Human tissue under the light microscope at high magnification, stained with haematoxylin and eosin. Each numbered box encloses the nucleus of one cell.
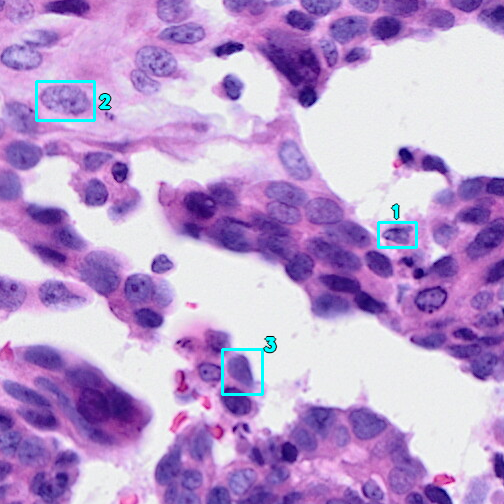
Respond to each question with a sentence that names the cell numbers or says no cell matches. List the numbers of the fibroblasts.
Cell 2 is a fibroblast, and this holds for no other numbered cell.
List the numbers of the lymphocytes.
By cell type, the numbered cells include no lymphocytes.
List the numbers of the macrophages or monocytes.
Just one numbered cell is a macrophage or monocyte, and that cell is number 1.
